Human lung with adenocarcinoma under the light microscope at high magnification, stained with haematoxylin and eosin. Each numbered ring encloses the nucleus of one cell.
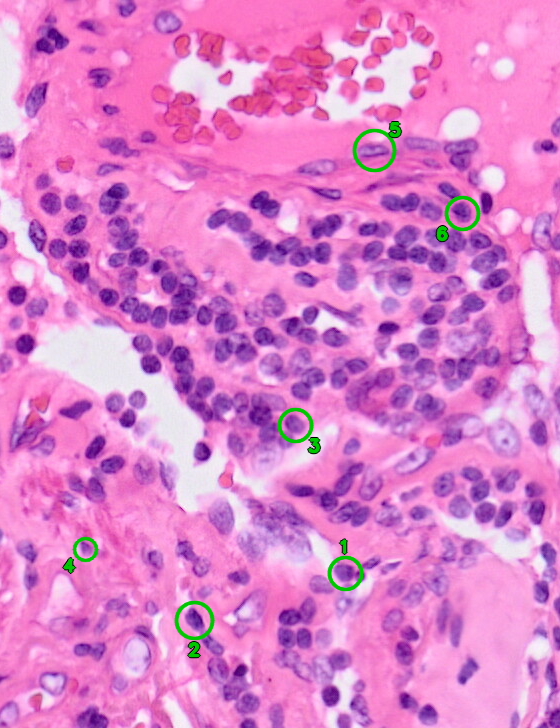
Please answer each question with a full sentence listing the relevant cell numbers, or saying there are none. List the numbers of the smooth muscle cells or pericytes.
The cell marked by number 4 is a smooth muscle cell or pericyte; the other marked cells are not.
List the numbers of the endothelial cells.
Among the marked cells, cell number 5 alone is an endothelial cell.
